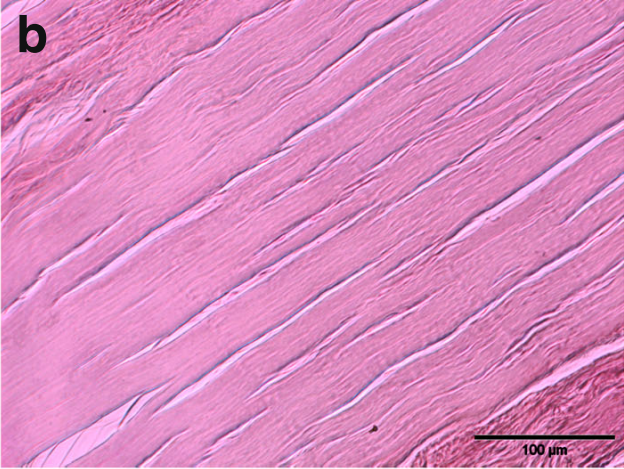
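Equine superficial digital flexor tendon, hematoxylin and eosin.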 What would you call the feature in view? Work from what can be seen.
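Narrow pale, elongated clefts lie between the parallel pink fibre bundles. No dark purple nuclei line the clefts. That points to this answer: interfibrillar tissue gaps.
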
